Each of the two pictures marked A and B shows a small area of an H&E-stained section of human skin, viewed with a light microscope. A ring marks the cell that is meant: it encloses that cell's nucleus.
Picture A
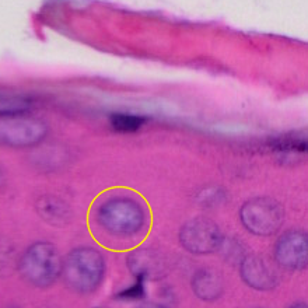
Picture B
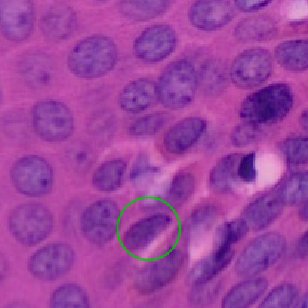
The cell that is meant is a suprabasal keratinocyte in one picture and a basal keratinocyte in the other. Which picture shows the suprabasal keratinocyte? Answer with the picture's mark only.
A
